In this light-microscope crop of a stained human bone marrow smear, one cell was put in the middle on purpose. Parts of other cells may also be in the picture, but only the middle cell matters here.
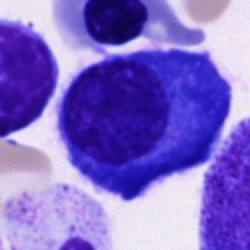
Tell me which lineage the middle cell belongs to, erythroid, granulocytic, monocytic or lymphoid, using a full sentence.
The cell at the center of the crop is assigned lymphoid lineage.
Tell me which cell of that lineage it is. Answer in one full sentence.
Centrally within this crop lies a plasma cell.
